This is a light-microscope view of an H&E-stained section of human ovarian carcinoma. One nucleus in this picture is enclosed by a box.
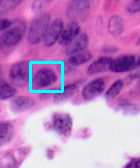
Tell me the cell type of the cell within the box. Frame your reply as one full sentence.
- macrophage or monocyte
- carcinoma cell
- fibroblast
In this field of tissue, the cell within the box is a carcinoma cell.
